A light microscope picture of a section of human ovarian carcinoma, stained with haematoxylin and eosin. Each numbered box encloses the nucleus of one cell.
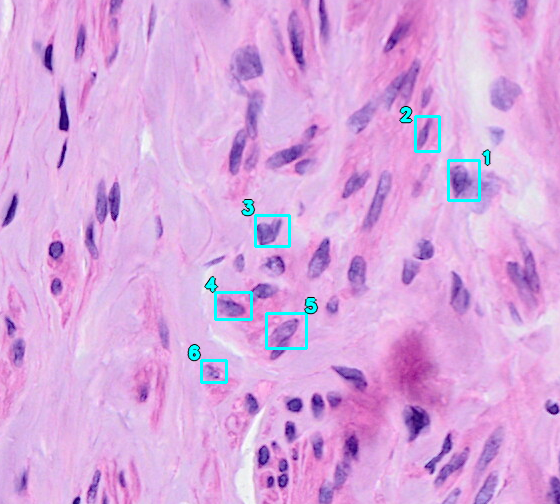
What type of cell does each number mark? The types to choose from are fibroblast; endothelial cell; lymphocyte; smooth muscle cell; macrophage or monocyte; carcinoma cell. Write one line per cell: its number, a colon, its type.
1: fibroblast
2: smooth muscle cell
3: fibroblast
4: smooth muscle cell
5: smooth muscle cell
6: smooth muscle cell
